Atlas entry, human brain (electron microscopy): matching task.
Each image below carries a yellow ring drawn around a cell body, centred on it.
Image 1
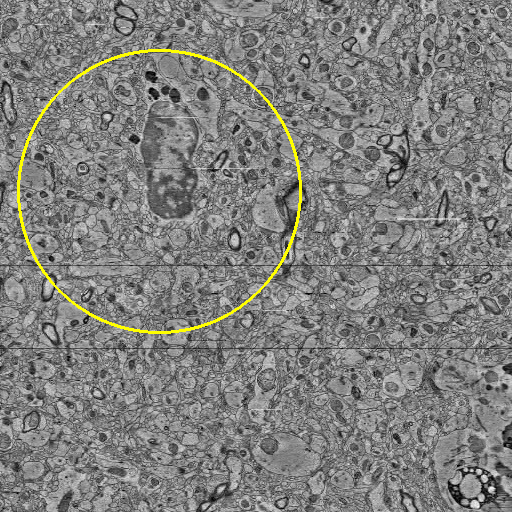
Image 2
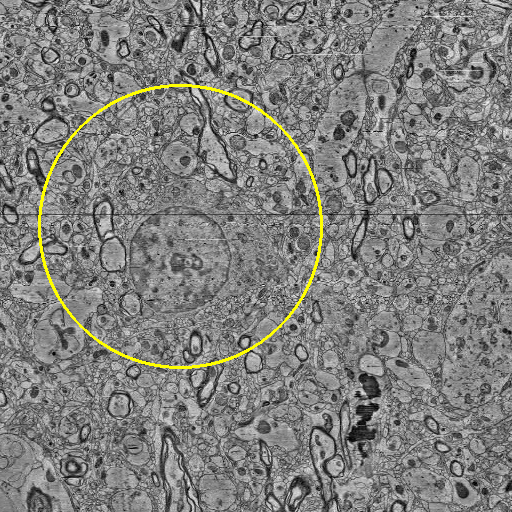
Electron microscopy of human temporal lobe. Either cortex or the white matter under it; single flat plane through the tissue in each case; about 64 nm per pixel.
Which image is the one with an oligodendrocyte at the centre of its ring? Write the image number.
2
